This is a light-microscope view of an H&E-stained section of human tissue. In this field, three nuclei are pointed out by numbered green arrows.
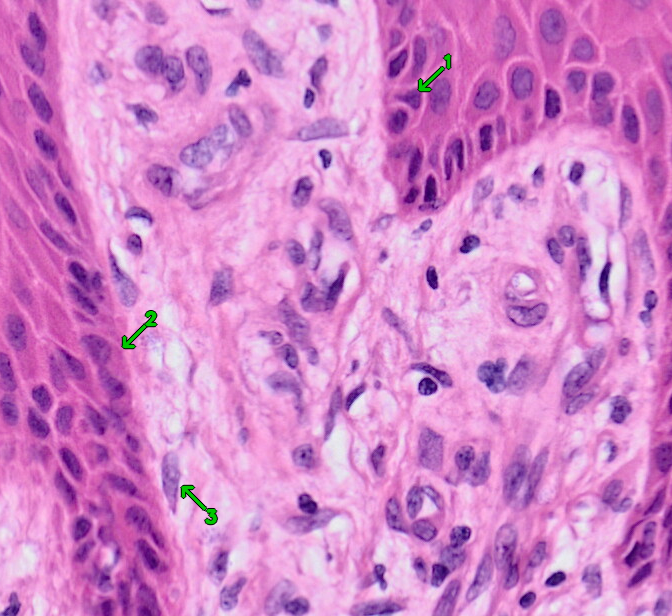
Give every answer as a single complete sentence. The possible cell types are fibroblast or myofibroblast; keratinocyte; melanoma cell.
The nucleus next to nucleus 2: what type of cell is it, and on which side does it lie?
A keratinocyte lies closest, to the left of nucleus 2.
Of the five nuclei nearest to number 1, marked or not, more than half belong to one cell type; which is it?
Of the five nuclei nearest to number 1, most belong to keratinocytes.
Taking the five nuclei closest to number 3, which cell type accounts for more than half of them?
The majority of the five nuclei closest to number 3 belong to keratinocytes.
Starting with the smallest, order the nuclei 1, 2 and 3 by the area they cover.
From smallest to largest, the order is 1, 3, 2.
